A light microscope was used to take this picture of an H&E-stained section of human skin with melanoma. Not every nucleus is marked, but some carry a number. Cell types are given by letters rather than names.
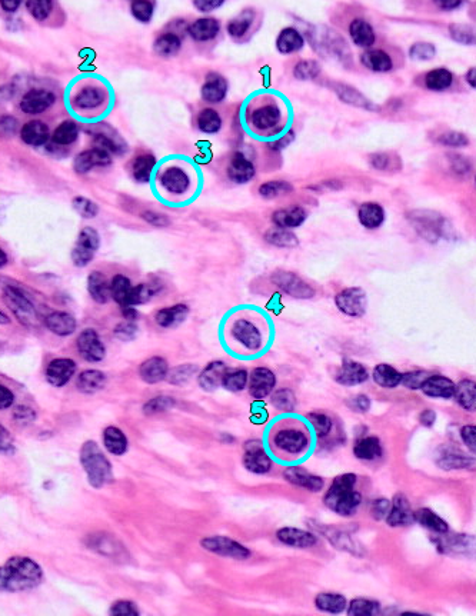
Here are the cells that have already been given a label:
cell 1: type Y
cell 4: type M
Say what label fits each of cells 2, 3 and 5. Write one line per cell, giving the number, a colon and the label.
2: type Y
3: type M
5: type Y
